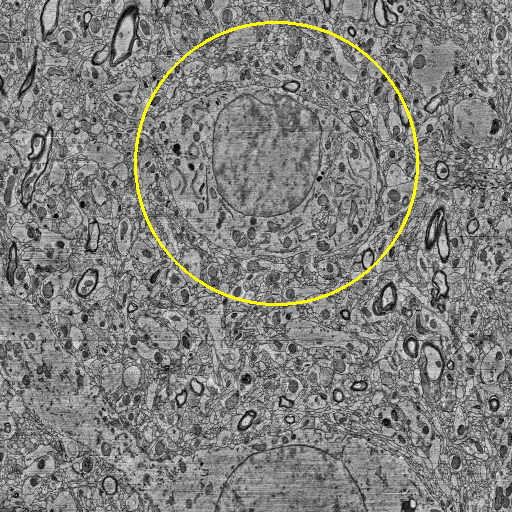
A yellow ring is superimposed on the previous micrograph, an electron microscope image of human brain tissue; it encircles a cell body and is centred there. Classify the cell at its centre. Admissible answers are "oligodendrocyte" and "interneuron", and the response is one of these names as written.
interneuron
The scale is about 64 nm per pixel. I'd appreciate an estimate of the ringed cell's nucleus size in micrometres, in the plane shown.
In this plane, roughly 8 micrometres across.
